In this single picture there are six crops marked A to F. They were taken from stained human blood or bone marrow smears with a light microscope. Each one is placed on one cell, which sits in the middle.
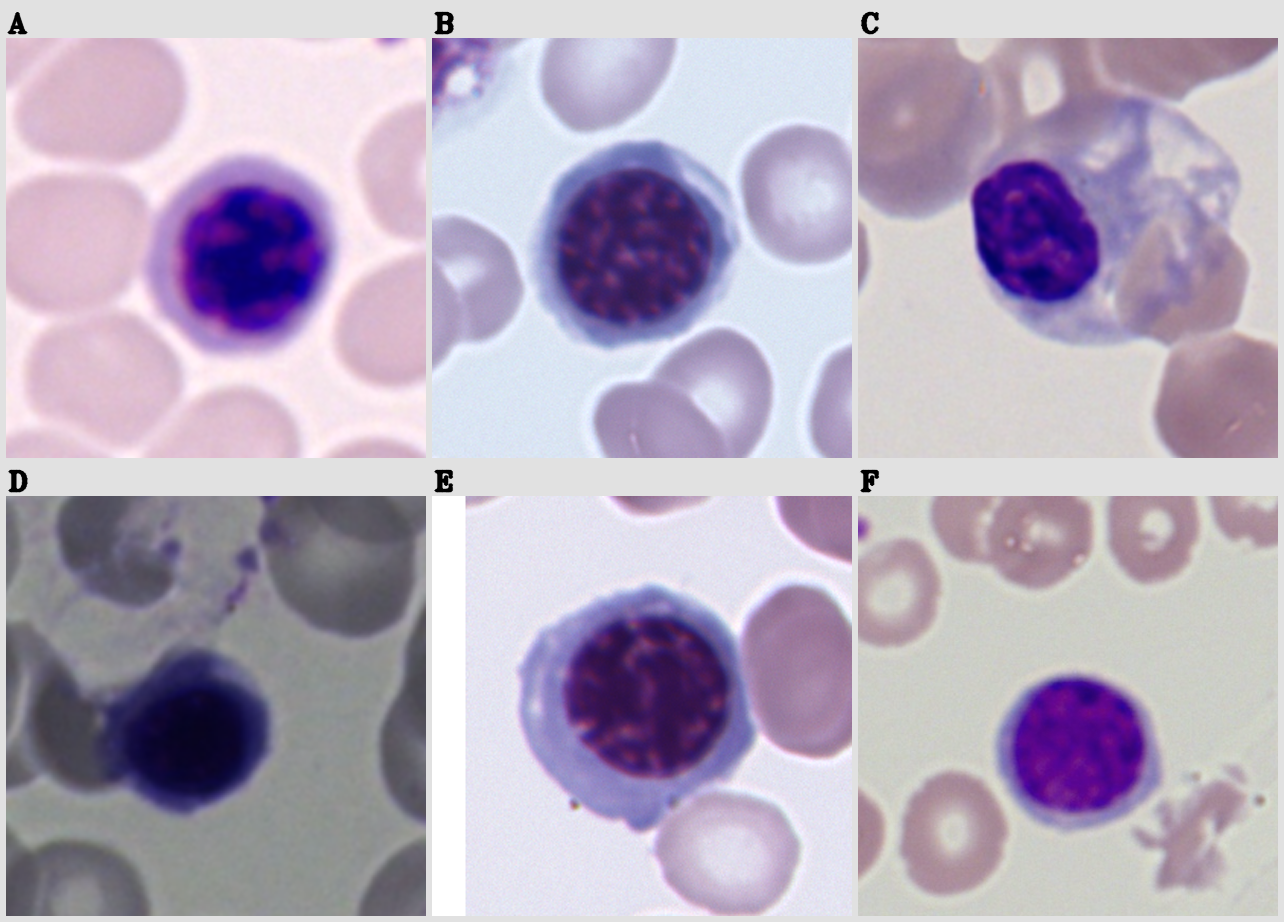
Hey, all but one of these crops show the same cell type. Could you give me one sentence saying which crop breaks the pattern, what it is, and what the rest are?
Crop F stands apart from the rest as a lymphocyte, the others all being normoblasts.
